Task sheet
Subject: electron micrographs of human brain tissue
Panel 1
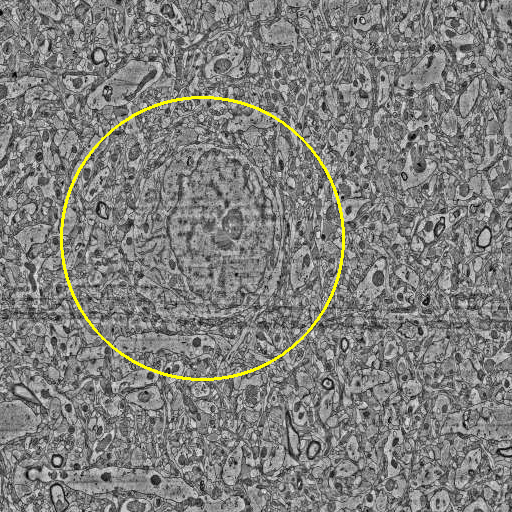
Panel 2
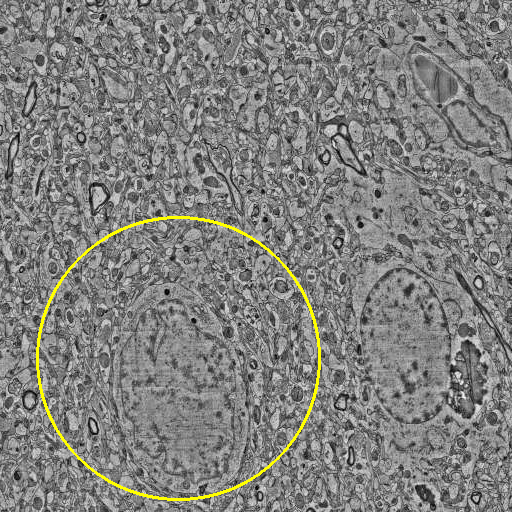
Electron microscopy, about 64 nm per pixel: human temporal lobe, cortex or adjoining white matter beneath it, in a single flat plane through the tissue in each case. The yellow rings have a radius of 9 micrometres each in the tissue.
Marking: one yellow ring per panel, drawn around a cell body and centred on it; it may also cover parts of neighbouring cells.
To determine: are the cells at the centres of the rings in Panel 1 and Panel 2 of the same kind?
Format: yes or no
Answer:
yes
